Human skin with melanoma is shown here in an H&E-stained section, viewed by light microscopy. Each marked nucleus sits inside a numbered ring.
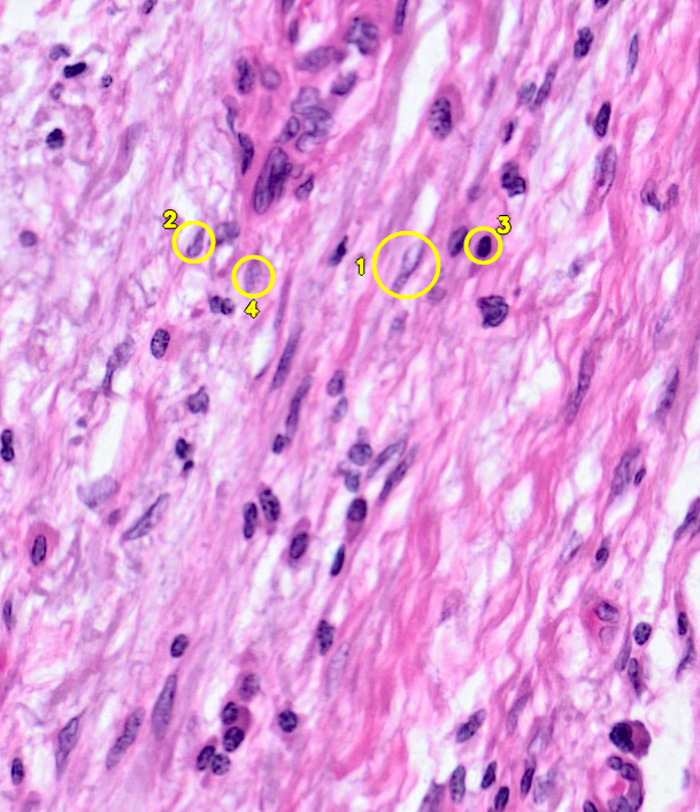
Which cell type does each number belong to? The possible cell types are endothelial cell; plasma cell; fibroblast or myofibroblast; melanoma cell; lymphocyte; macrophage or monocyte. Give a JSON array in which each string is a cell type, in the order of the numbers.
["fibroblast or myofibroblast", "fibroblast or myofibroblast", "plasma cell", "fibroblast or myofibroblast"]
